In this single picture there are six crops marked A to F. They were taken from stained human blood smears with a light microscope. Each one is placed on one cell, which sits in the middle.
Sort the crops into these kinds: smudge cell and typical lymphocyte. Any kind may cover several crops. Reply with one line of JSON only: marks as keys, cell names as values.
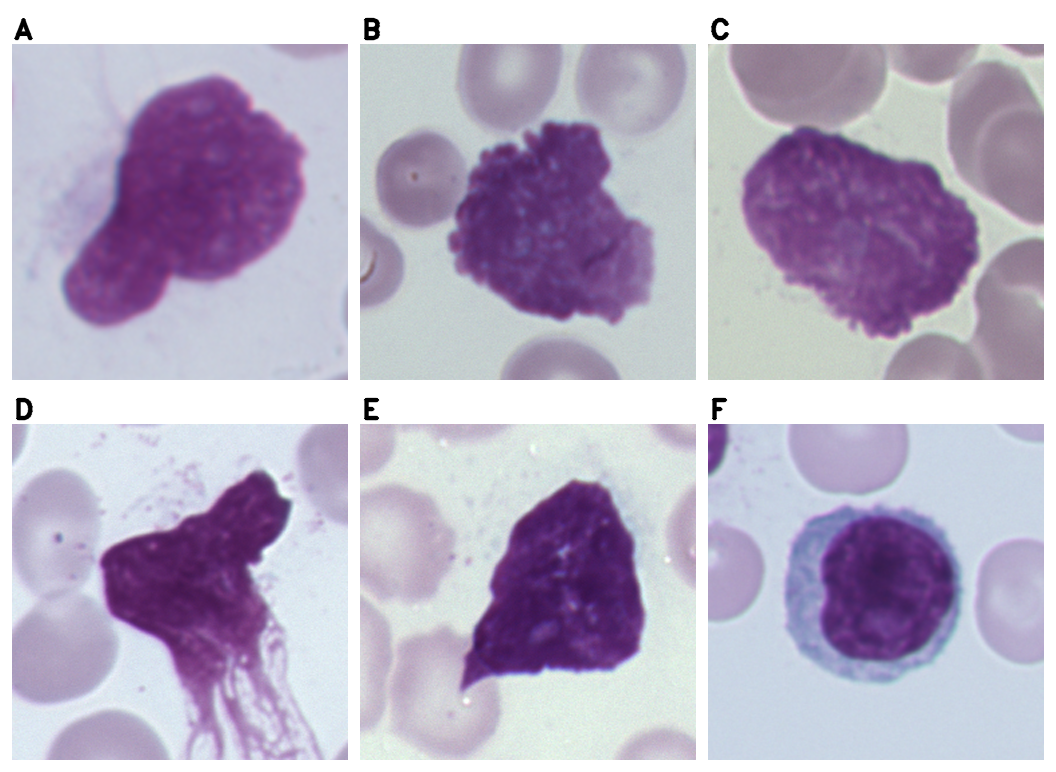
{"A": "smudge cell", "B": "smudge cell", "C": "smudge cell", "D": "smudge cell", "E": "smudge cell", "F": "typical lymphocyte"}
